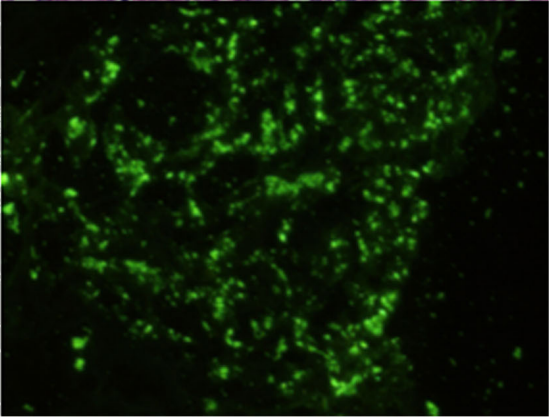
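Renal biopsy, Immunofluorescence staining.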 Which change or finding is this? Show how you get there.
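Many discrete bright green granules are scattered over a rounded area. The granules are coarse and irregularly spaced against a dark background. That points to this answer: starry sky pattern.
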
